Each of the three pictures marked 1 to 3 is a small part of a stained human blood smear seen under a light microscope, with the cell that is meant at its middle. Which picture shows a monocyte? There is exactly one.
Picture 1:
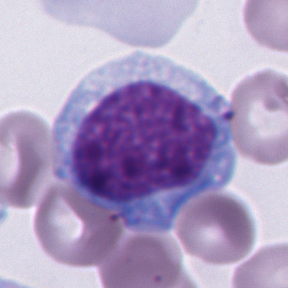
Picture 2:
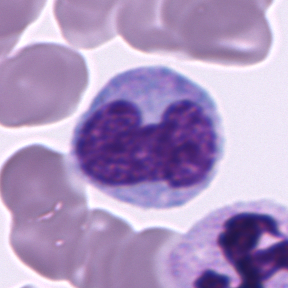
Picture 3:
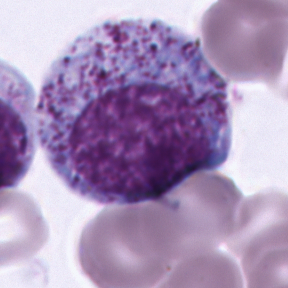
2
